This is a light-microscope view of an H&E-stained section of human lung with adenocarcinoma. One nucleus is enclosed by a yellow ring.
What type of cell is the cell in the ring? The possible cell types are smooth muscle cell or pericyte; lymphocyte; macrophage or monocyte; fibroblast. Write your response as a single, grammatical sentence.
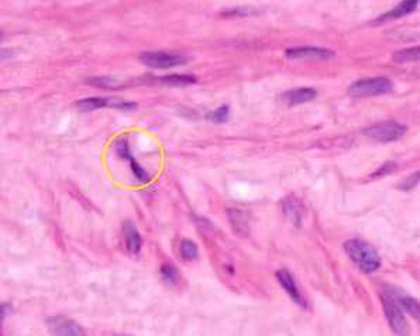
Within the stained tissue, the cell in the ring is a smooth muscle cell or pericyte.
